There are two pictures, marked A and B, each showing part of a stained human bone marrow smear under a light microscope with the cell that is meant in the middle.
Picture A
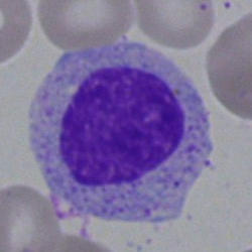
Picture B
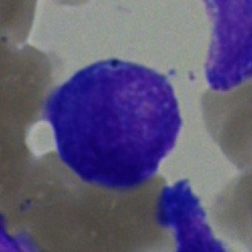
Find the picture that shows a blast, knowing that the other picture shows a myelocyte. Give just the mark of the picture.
B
